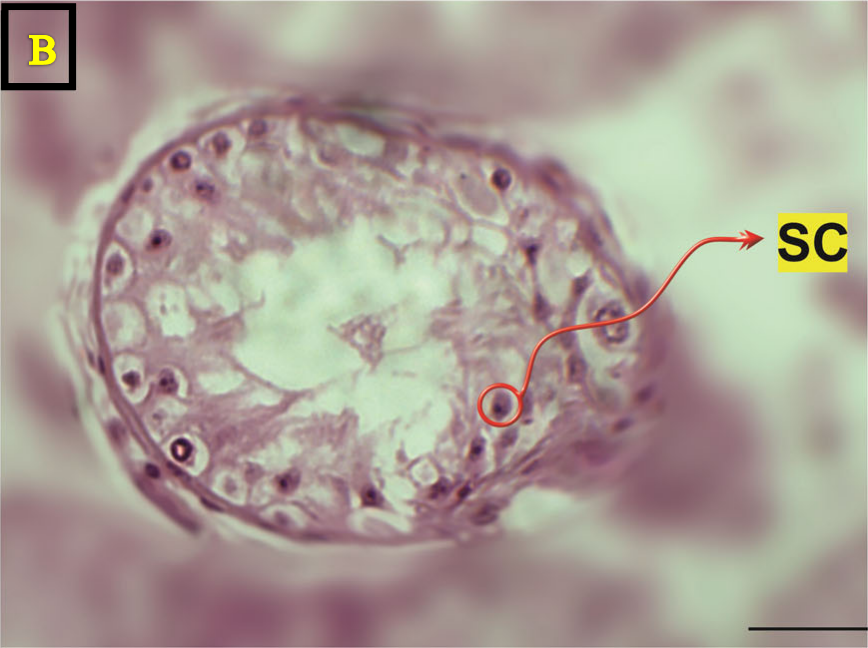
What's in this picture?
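A single round seminiferous tubule is seen in cross-section, lined only by Sertoli cells without the layered germ cells of normal spermatogenesis. The tubule wall is thin and sharply outlined. The epithelium consists of pale, vacuolated cells whose wispy pink cytoplasm extends from the wall toward a wide, pale central lumen. Only scattered round nuclei lie in the epithelium, mostly close to the tubule wall. The surrounding tissue is out of focus.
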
